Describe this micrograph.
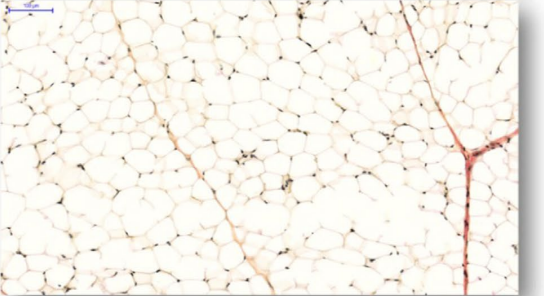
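This section of adipose tissue shows many small, closely packed adipocytes with polygonal outlines and clear, unstained interiors. Each cell is bounded by a very thin pale rim, and small dark, flattened nuclei lie at the cell margins and in the corners between cells. A band of red-stained connective tissue containing elongated dark nuclei runs down the right side of the field and branches. Fainter thin yellowish-orange strands cross the field diagonally between groups of adipocytes. The adipocytes are fairly uniform in size across the field.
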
